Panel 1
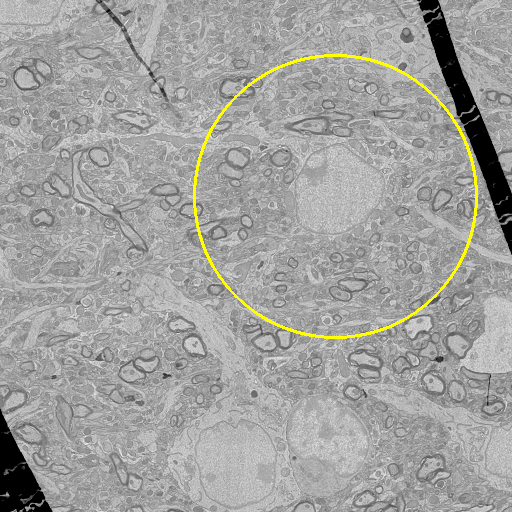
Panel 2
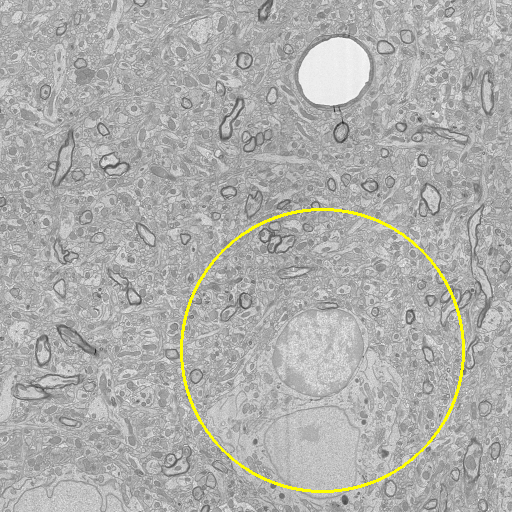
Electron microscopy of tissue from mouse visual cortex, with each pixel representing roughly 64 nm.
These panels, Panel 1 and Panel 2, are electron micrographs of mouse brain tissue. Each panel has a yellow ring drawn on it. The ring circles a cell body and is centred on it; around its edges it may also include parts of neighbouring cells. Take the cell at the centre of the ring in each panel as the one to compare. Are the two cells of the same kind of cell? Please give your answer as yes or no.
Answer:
no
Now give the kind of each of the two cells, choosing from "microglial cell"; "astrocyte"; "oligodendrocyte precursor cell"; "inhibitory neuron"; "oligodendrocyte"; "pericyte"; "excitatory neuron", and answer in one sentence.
The cell in the first picture is an astrocyte, and the cell in the second is an oligodendrocyte.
